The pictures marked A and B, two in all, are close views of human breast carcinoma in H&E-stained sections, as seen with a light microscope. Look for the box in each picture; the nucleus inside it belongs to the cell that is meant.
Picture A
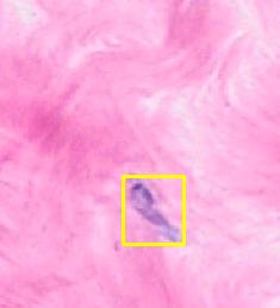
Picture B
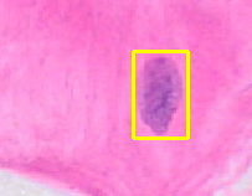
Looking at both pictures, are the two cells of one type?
yes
